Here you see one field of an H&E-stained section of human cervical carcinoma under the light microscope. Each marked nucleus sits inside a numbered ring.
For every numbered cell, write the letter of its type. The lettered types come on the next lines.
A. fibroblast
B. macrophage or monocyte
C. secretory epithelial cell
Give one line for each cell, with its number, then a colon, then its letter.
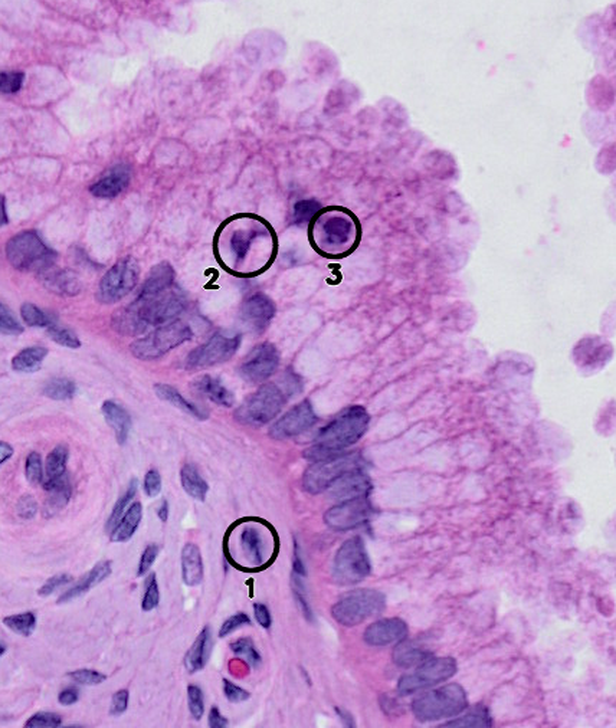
1: A
2: C
3: C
